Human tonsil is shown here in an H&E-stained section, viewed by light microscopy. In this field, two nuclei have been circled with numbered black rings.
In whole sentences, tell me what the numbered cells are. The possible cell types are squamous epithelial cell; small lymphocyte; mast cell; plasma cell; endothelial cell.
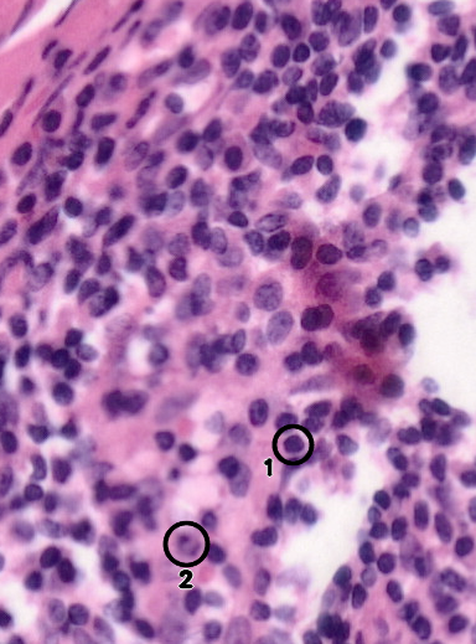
Cell 1 is a small lymphocyte and cell 2 is an endothelial cell.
